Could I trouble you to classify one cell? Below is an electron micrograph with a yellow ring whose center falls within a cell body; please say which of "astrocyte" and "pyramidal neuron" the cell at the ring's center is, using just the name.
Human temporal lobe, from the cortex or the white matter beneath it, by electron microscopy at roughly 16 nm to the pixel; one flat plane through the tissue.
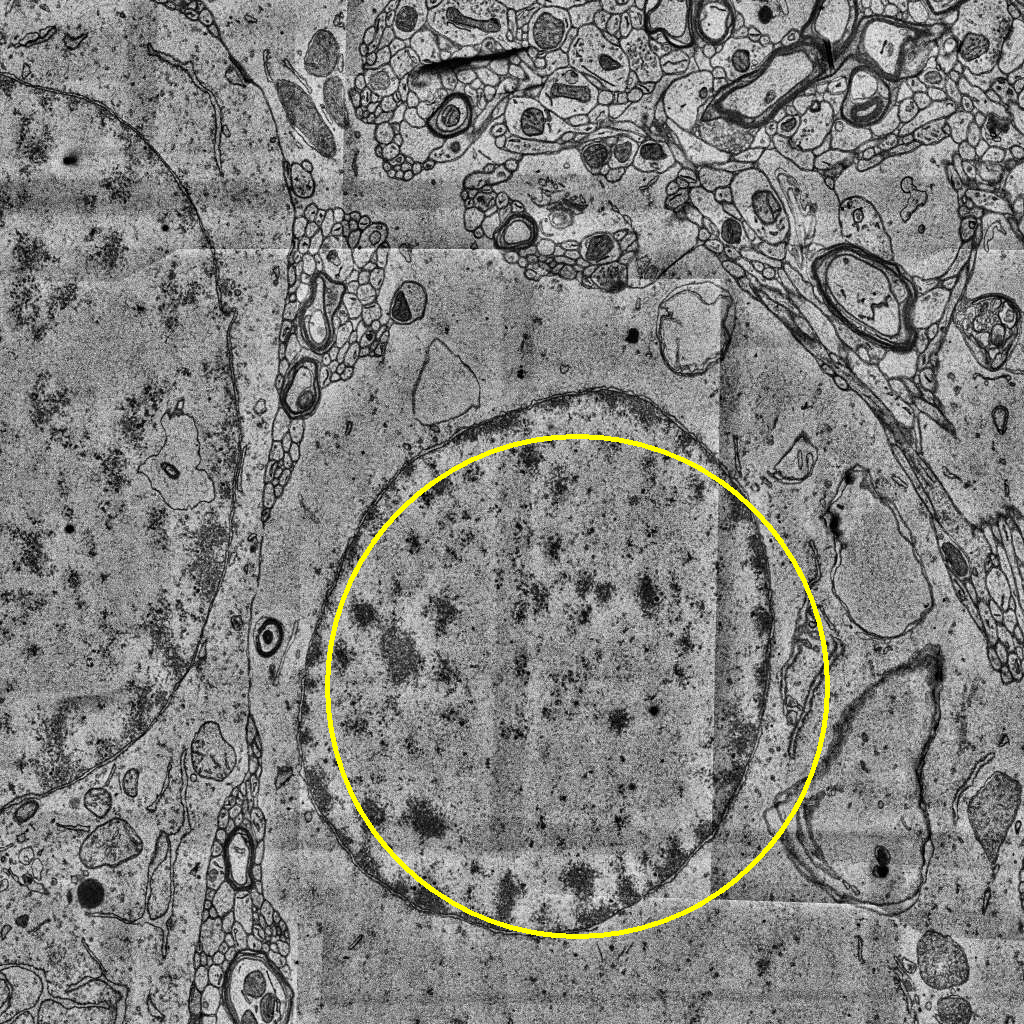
astrocyte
